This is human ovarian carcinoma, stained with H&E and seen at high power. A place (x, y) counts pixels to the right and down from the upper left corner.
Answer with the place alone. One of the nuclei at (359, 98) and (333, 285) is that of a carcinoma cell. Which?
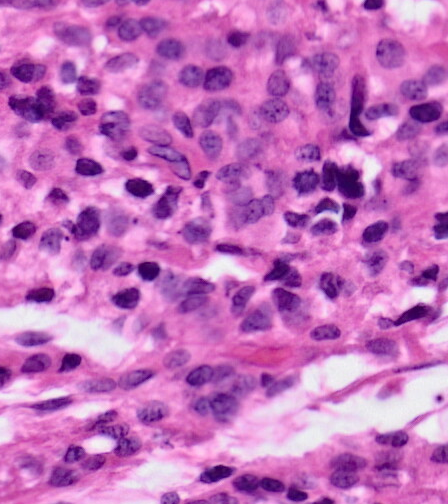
(359, 98)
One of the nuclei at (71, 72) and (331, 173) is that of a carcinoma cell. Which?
(331, 173)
